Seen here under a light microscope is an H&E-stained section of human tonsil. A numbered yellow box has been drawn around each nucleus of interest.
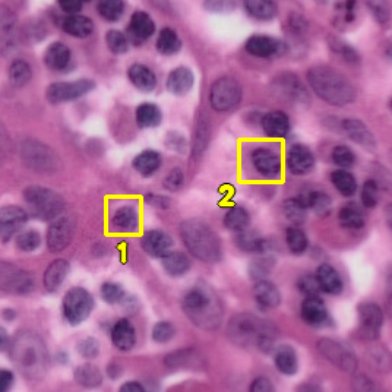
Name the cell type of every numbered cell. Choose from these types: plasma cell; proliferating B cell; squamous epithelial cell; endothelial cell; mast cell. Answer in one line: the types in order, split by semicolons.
squamous epithelial cell; plasma cell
